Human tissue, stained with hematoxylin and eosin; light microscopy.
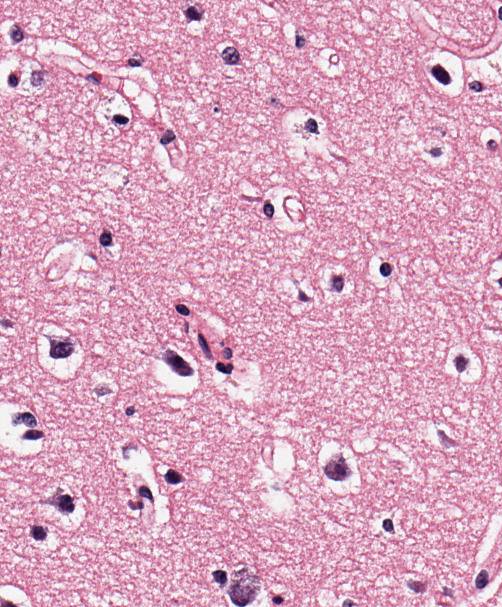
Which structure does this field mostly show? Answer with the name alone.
cerebral cortex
